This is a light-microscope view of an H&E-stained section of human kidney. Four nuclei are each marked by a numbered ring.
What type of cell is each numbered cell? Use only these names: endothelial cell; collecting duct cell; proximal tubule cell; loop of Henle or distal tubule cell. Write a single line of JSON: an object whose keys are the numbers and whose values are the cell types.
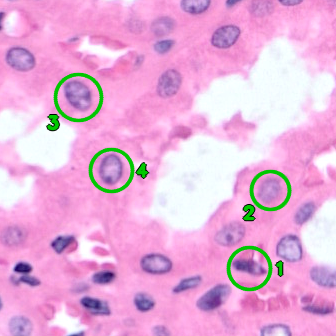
{"1": "endothelial cell", "2": "proximal tubule cell", "3": "proximal tubule cell", "4": "proximal tubule cell"}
